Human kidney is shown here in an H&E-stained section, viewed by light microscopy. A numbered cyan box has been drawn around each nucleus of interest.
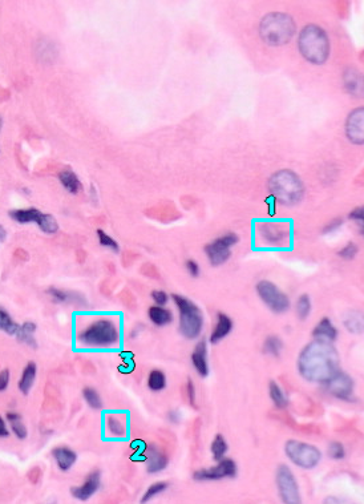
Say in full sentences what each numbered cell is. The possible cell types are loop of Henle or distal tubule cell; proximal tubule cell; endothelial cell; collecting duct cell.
Cell 1 is a collecting duct cell. Cells 2 and 3 are endothelial cells.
